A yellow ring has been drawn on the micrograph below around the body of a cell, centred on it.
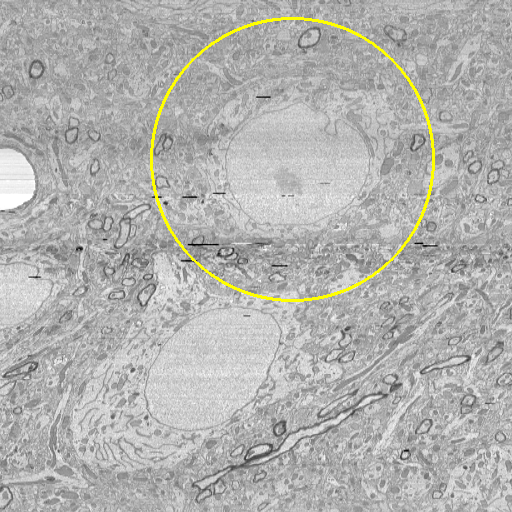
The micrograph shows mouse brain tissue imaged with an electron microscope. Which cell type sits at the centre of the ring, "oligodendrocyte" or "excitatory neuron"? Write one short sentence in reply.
The cell sitting at the centre of the ring is an excitatory neuron.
